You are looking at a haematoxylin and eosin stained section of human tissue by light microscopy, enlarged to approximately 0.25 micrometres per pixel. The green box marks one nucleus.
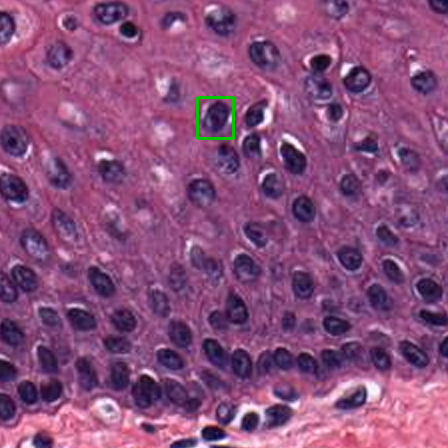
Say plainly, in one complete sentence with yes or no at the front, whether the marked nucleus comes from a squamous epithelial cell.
Yes, the marked nucleus sits in a squamous epithelial cell.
